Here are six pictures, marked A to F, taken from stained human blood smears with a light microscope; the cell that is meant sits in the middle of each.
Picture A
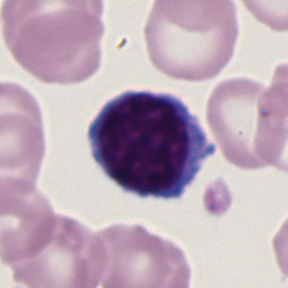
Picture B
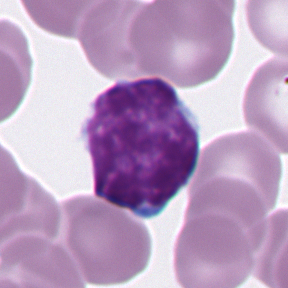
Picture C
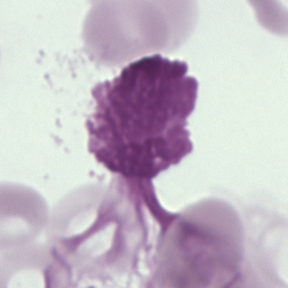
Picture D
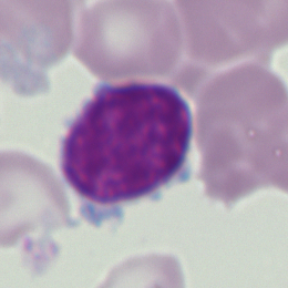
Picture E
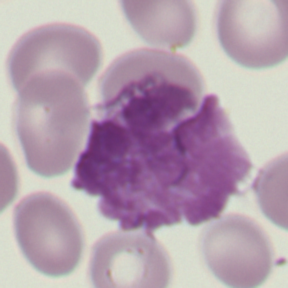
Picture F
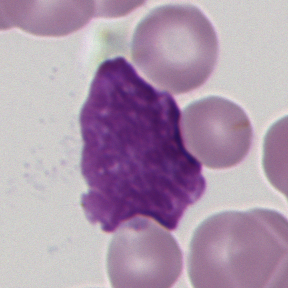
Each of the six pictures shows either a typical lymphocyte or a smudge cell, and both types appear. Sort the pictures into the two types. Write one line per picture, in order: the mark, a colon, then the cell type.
A: typical lymphocyte
B: typical lymphocyte
C: smudge cell
D: typical lymphocyte
E: smudge cell
F: smudge cell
